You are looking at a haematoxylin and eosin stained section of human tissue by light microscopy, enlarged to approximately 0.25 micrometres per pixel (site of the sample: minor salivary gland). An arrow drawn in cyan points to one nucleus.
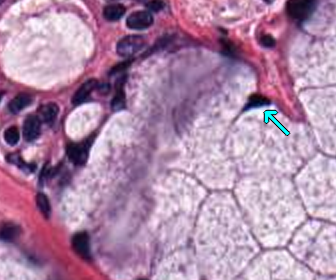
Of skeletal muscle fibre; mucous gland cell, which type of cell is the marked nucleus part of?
mucous gland cell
